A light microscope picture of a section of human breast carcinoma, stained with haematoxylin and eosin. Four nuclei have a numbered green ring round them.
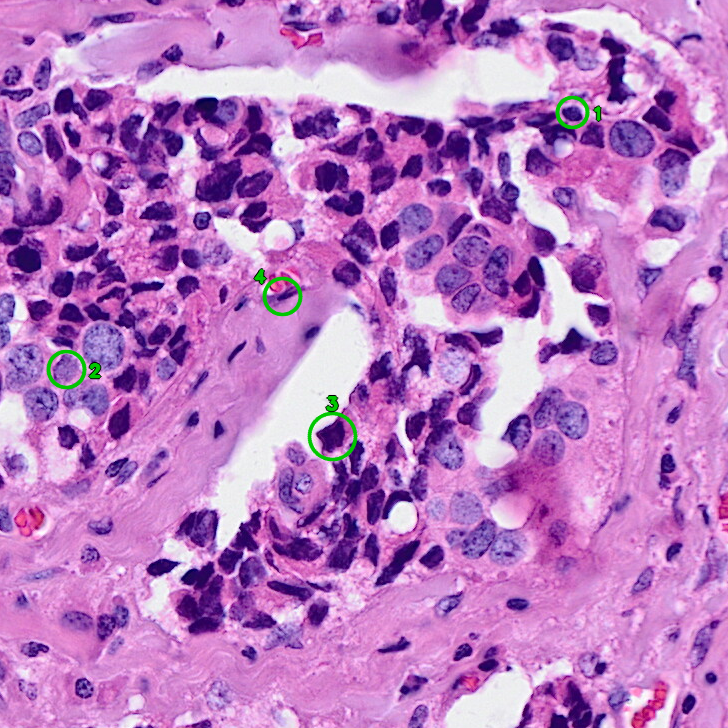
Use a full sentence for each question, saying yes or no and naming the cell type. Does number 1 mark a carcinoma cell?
No, it is a lymphocyte that is marked with number 1, not a carcinoma cell.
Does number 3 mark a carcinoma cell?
Yes, the cell sitting at number 3 is a carcinoma cell.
